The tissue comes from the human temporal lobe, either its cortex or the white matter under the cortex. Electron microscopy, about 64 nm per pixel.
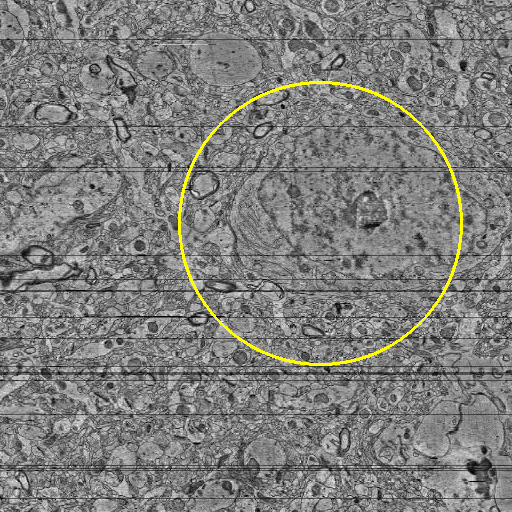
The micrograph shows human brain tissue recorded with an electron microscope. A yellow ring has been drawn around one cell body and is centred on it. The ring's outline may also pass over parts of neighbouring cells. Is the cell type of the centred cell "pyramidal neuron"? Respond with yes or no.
no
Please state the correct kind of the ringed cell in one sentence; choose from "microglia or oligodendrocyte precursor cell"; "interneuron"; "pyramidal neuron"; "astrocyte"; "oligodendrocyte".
The cell enclosed by the ring is an interneuron.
